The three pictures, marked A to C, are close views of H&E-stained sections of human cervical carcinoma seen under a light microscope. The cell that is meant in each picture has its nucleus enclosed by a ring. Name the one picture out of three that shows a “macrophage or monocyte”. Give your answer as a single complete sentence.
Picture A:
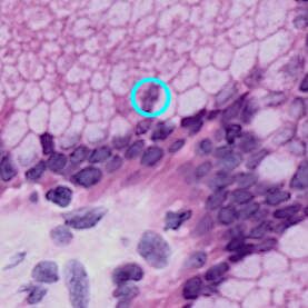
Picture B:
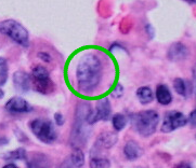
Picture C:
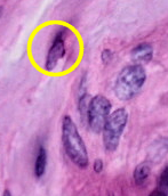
Picture C shows the “macrophage or monocyte”.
